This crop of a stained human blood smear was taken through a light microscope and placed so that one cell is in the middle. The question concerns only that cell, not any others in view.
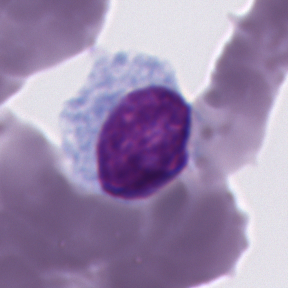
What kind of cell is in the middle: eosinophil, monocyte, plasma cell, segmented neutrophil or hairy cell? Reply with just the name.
hairy cell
